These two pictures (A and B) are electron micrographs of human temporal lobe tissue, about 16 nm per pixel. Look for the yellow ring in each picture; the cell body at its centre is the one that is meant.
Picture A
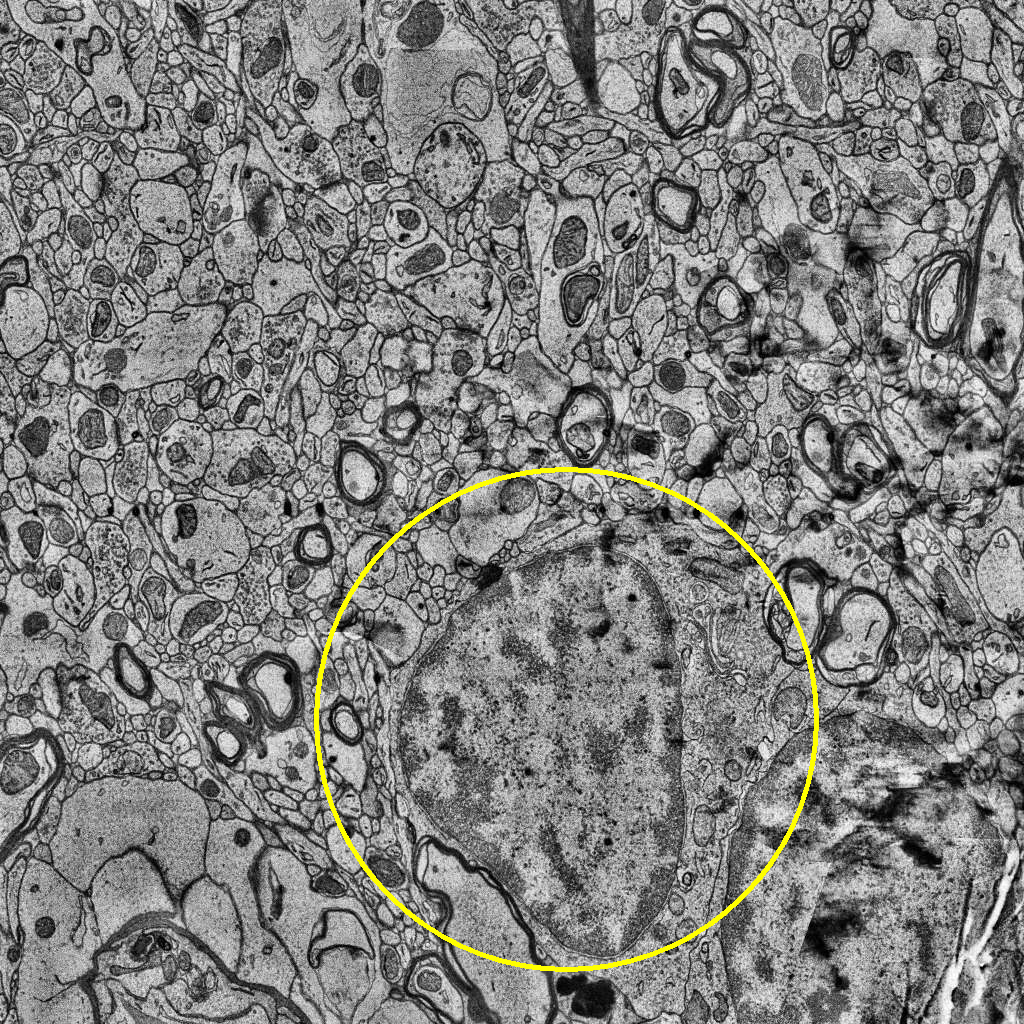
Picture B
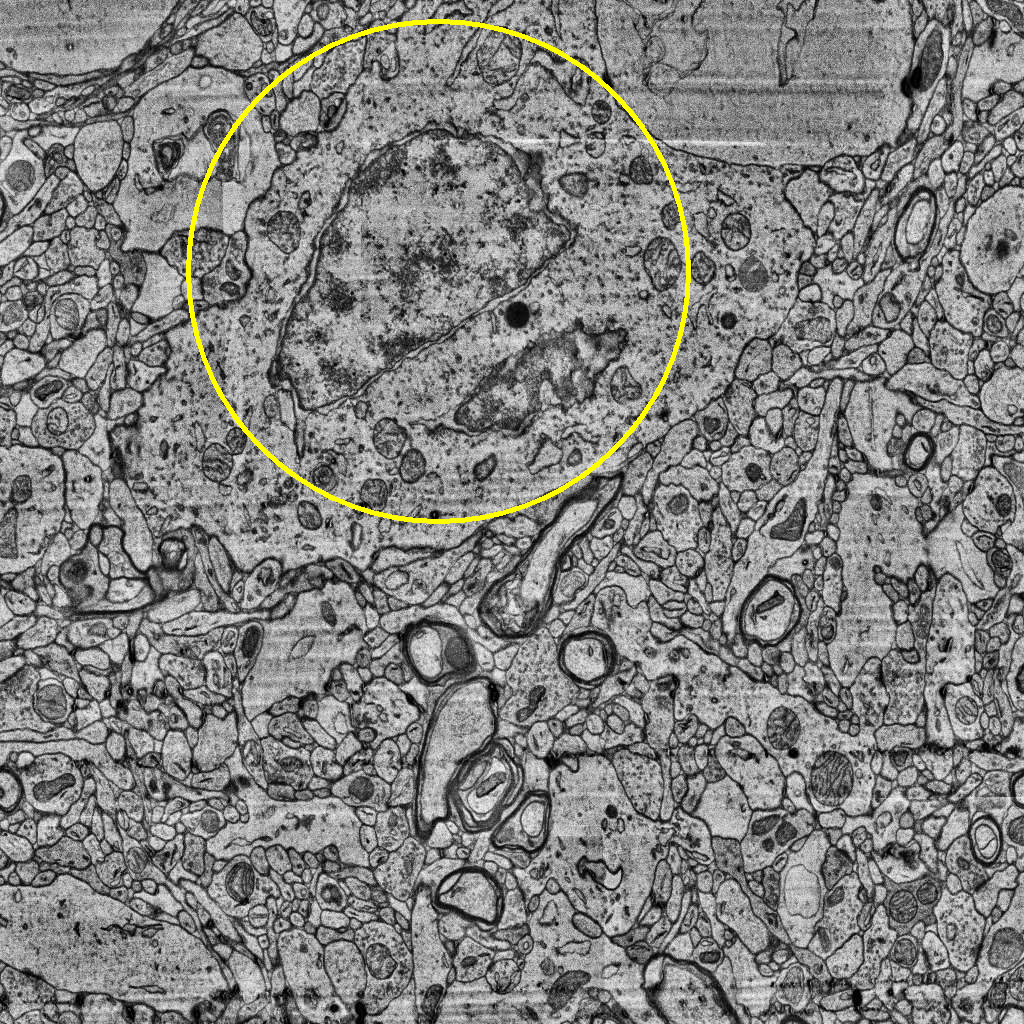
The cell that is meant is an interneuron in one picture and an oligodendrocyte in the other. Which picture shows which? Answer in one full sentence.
Picture A shows an oligodendrocyte and picture B shows an interneuron.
